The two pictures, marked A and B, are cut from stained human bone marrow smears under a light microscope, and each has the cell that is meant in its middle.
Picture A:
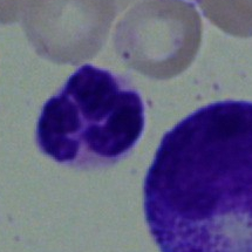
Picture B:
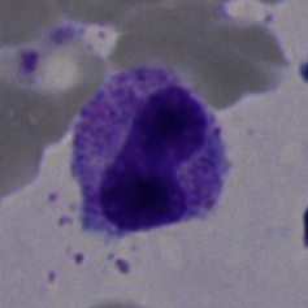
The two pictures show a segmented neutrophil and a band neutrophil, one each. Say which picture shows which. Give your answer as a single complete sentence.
Picture A shows a segmented neutrophil and picture B shows a band neutrophil.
